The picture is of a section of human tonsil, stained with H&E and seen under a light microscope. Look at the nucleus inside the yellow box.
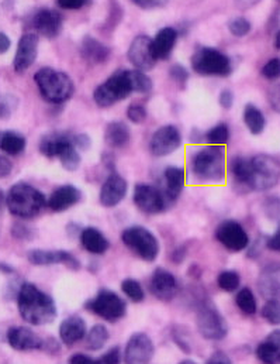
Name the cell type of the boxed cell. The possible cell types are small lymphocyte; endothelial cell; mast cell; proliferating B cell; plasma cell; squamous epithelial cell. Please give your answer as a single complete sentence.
In this tissue section, the boxed cell is to be classed as a proliferating B cell.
